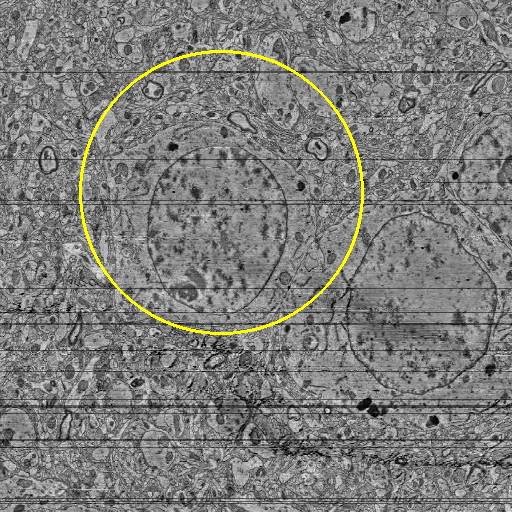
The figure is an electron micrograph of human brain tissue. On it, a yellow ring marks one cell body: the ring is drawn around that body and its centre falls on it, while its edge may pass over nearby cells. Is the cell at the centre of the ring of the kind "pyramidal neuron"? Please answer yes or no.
yes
